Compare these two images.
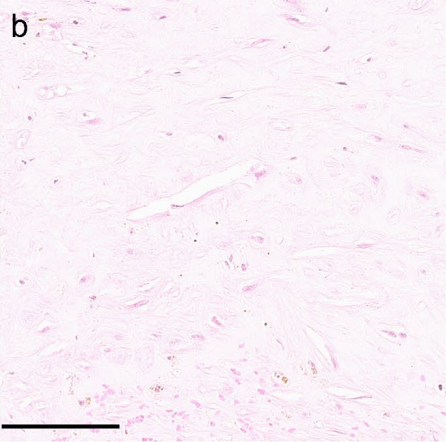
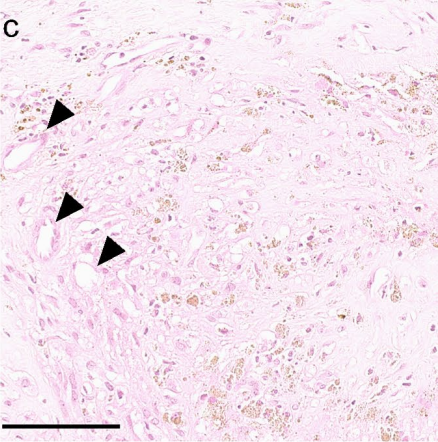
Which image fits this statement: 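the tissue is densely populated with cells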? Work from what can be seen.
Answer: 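Second image: many closely spaced cells and pigment-laden clusters. First image: sparse nuclei in a pale fibrous matrix. On this evidence: the second image.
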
